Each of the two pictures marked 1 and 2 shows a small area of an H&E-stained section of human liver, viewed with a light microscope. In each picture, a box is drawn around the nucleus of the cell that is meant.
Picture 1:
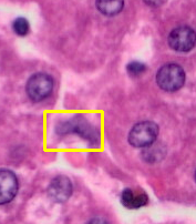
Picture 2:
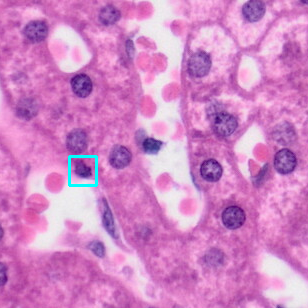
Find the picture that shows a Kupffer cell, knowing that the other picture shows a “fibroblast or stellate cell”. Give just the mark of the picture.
1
